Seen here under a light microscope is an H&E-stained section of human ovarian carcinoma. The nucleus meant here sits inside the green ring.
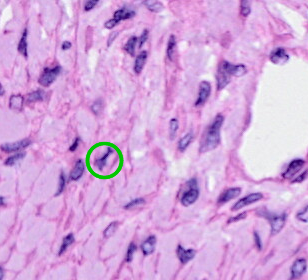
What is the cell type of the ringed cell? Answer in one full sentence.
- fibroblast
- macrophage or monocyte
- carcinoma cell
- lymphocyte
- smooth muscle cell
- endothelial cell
The expected answer is simply that the ringed cell is a fibroblast.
